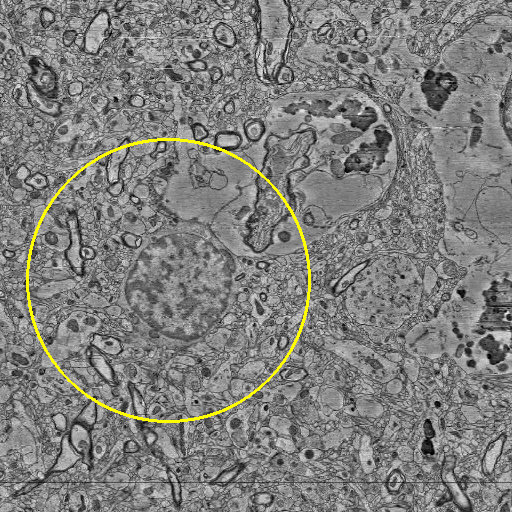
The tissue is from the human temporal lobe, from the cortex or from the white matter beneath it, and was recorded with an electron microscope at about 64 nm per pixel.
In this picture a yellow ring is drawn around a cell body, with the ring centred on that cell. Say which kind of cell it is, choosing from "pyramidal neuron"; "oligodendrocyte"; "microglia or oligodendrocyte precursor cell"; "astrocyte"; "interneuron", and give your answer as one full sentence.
Here it is an oligodendrocyte that sits at the centre of the drawn yellow ring.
